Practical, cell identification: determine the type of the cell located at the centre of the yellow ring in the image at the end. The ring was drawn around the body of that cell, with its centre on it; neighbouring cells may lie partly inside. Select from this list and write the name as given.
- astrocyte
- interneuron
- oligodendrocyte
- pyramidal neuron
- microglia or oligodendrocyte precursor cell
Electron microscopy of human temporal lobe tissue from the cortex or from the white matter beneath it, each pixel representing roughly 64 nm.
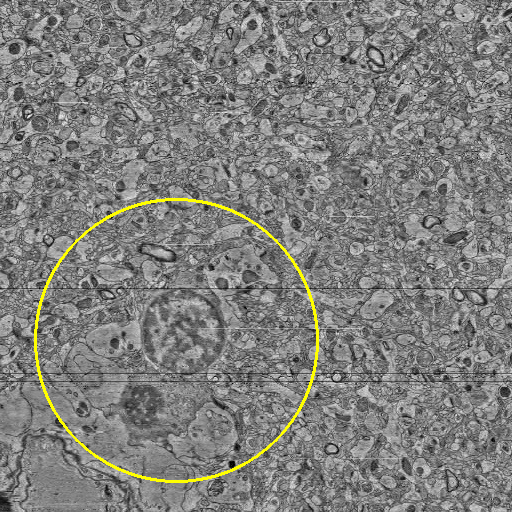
oligodendrocyte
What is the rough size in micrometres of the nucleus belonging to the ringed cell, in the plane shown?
In this plane the nucleus measures roughly 6 by 5 micrometres.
